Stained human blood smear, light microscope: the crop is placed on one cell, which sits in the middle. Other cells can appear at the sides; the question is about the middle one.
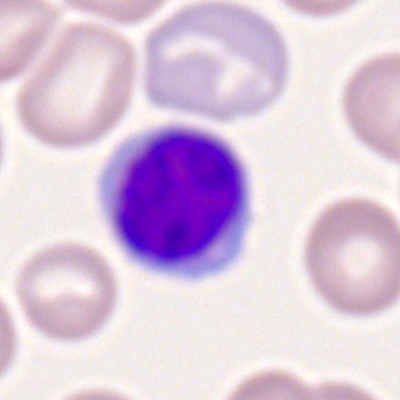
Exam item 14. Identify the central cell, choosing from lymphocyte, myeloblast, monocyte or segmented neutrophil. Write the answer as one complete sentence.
Classification of the middle cell gives a lymphocyte.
